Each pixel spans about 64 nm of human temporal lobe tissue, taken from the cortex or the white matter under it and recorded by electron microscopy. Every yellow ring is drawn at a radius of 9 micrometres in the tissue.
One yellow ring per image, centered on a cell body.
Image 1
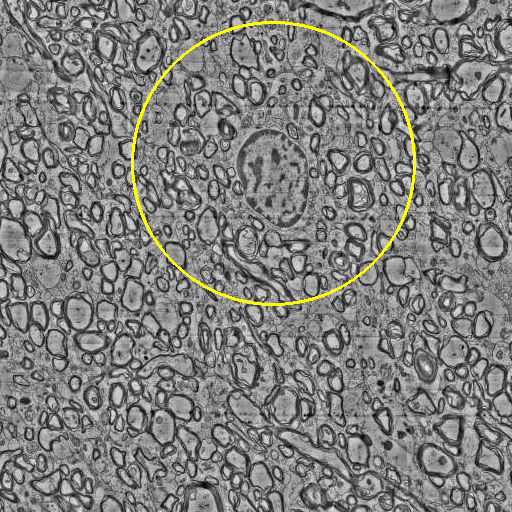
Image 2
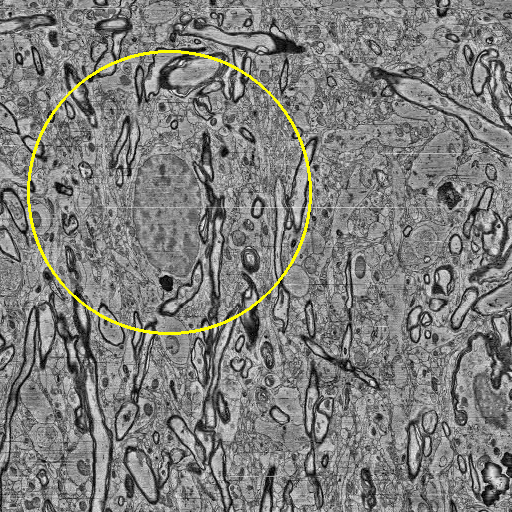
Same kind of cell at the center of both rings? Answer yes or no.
no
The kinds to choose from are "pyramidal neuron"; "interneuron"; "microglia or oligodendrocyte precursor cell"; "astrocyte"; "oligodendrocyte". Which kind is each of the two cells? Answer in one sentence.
Of the two, the first cell is a microglial cell or oligodendrocyte precursor cell and the second cell is an oligodendrocyte.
